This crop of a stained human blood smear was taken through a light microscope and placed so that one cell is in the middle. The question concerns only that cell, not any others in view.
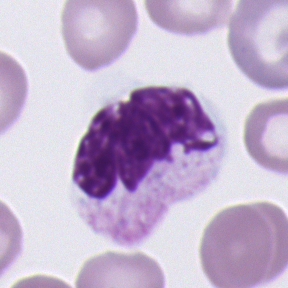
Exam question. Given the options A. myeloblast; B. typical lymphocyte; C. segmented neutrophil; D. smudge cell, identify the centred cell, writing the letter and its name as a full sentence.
Option C is correct; the cell in the middle is a segmented neutrophil.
